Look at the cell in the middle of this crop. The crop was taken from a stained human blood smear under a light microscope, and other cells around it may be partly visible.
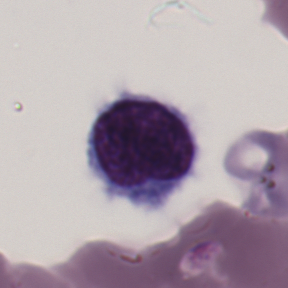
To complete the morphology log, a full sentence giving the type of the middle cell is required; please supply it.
By classification, the middle cell of this crop is a hairy cell.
